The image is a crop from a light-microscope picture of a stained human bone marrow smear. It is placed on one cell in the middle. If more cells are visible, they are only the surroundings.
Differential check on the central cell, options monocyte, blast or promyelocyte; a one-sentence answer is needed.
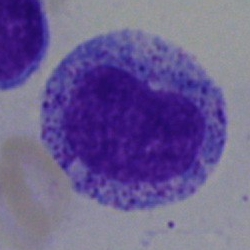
In the middle of this smear crop, the cell is a promyelocyte.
